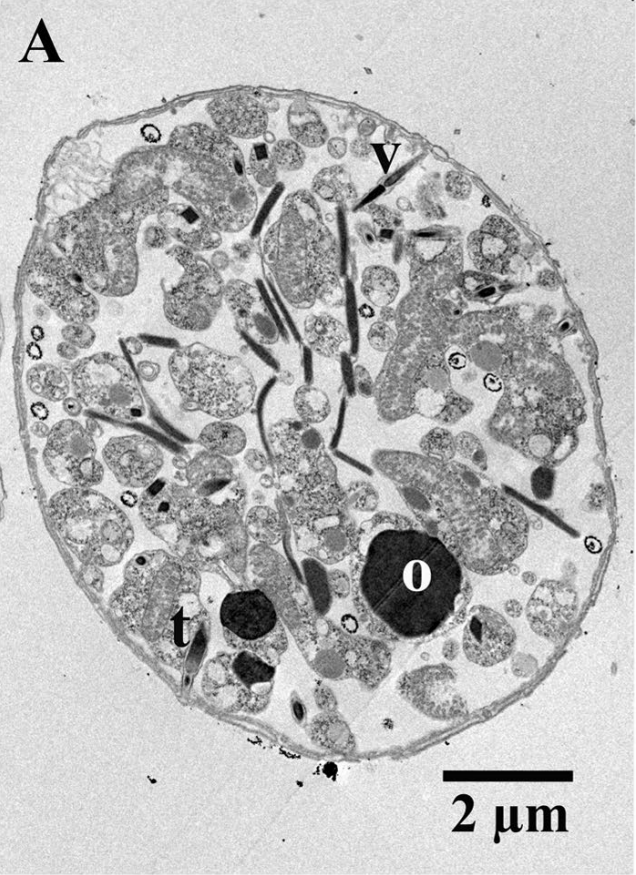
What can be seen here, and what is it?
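A whole oval cell is seen in section, bounded by a thin outer covering and filled with numerous rounded and lobed cytoplasmic profiles that hold dark granules. Dark rod-shaped bodies run scattered through the cytoplasm, and large round, very dense oil droplets sit near the lower pole.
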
